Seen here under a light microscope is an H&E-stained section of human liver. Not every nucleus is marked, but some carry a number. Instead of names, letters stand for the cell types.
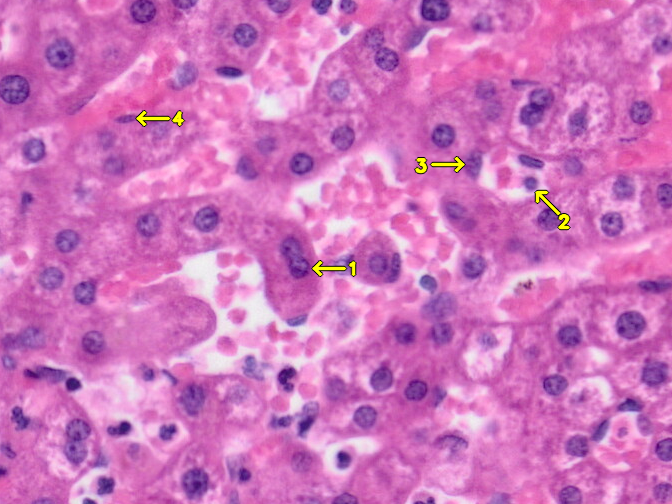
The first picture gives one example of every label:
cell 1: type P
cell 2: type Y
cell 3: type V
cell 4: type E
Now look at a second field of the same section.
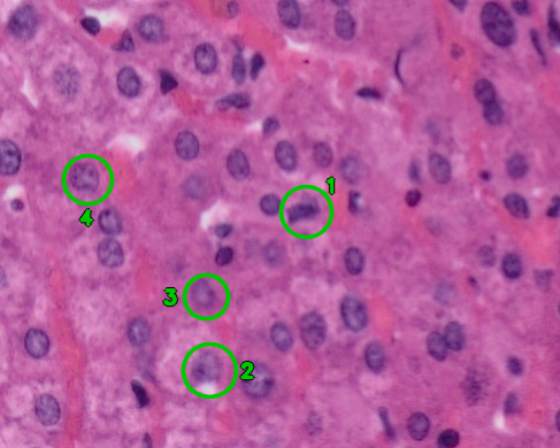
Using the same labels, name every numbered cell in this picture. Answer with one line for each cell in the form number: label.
1: type E
2: type P
3: type P
4: type P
